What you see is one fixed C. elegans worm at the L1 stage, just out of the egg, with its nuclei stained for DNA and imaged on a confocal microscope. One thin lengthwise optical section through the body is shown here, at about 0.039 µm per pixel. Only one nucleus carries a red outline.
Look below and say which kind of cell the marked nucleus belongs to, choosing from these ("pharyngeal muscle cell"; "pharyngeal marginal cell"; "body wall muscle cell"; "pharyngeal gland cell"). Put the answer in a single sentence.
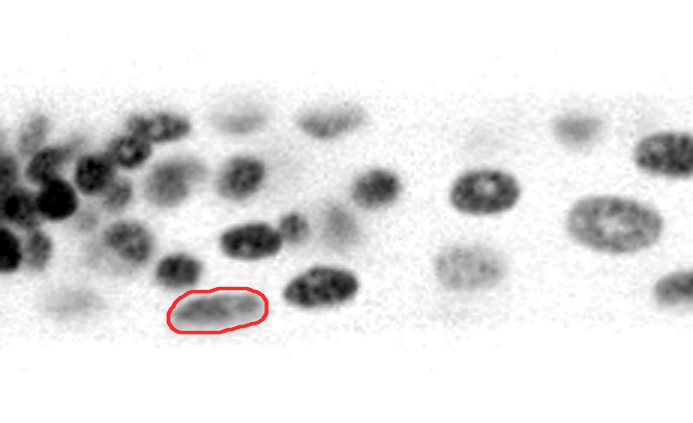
What is marked is the nucleus of a body wall muscle cell.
